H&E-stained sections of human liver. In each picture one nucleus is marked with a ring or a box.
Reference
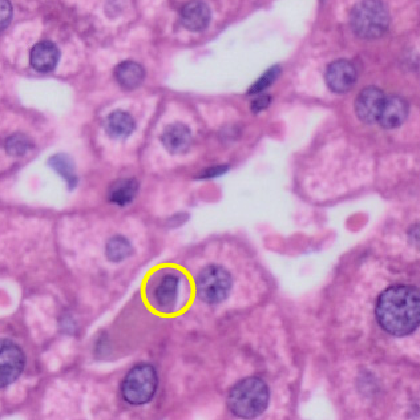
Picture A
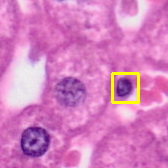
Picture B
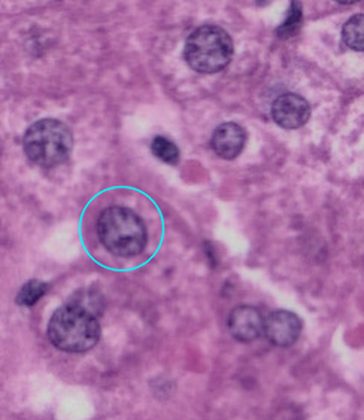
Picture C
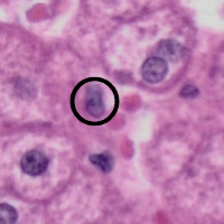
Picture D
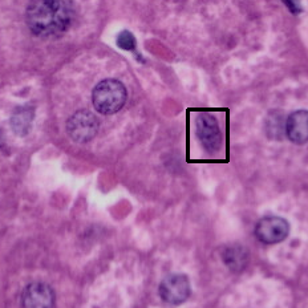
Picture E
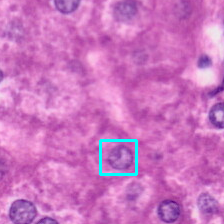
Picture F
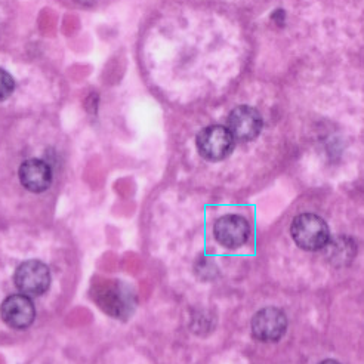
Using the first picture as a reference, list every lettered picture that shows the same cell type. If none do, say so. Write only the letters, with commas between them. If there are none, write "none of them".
A, C, D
